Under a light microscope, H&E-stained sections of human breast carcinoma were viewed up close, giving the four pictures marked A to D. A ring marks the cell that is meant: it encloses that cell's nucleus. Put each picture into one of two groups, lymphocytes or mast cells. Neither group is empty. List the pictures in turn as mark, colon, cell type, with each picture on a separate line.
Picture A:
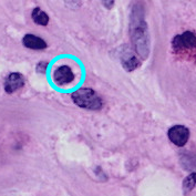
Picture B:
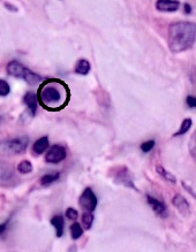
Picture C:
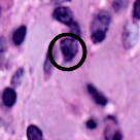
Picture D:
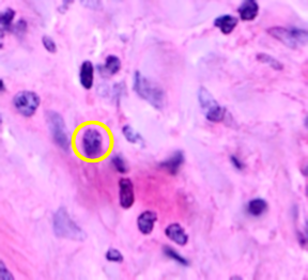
A: lymphocyte
B: lymphocyte
C: lymphocyte
D: mast cell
